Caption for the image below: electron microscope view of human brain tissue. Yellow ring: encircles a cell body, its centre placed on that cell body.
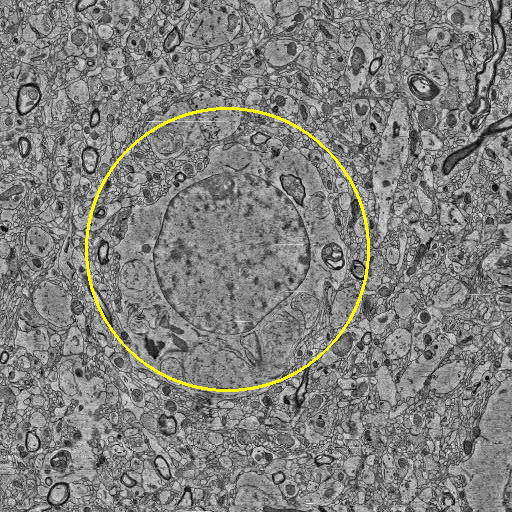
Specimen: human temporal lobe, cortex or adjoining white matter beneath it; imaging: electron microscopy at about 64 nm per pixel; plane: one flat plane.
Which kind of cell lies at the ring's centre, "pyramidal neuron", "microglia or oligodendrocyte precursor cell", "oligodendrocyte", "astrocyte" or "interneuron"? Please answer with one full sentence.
The picture shows an astrocyte at the centre of the yellow ring.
